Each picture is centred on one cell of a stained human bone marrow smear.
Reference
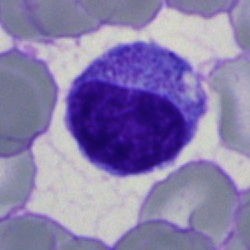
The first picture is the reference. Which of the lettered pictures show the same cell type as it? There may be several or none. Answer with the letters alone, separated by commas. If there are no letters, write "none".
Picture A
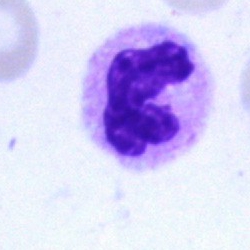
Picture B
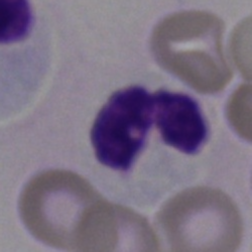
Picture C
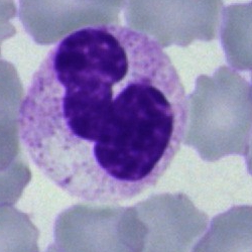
none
